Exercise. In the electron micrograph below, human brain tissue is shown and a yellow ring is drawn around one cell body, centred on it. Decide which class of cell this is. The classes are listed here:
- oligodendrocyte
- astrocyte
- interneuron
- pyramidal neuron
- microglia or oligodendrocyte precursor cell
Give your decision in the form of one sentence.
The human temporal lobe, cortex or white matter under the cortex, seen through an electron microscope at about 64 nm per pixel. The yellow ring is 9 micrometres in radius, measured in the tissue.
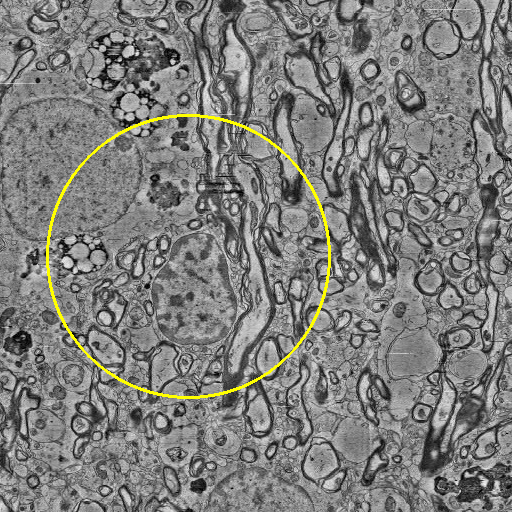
The cell body marked by the ring belongs to a microglial cell or oligodendrocyte precursor cell.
